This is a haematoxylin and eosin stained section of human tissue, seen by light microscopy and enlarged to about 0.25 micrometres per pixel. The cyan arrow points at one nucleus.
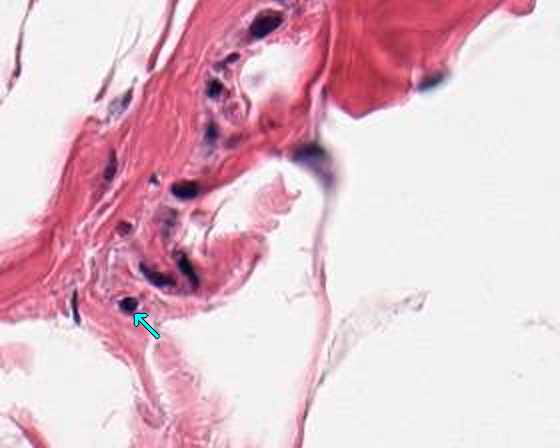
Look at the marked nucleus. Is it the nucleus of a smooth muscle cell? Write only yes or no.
no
